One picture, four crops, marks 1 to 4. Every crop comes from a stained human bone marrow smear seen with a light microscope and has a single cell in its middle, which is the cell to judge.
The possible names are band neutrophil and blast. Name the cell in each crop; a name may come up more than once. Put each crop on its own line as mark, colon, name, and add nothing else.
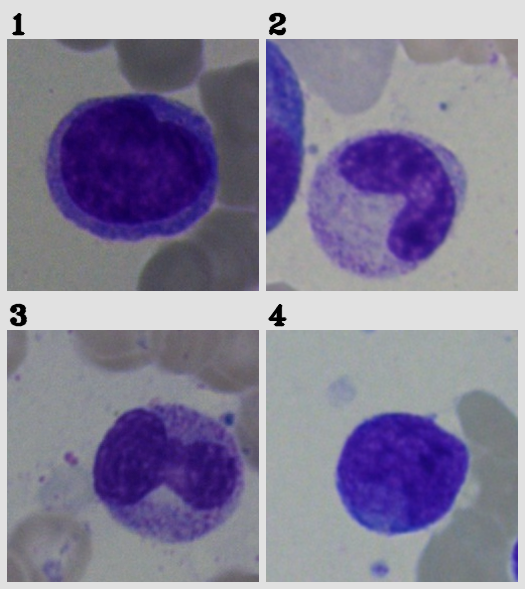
1: blast
2: band neutrophil
3: band neutrophil
4: blast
